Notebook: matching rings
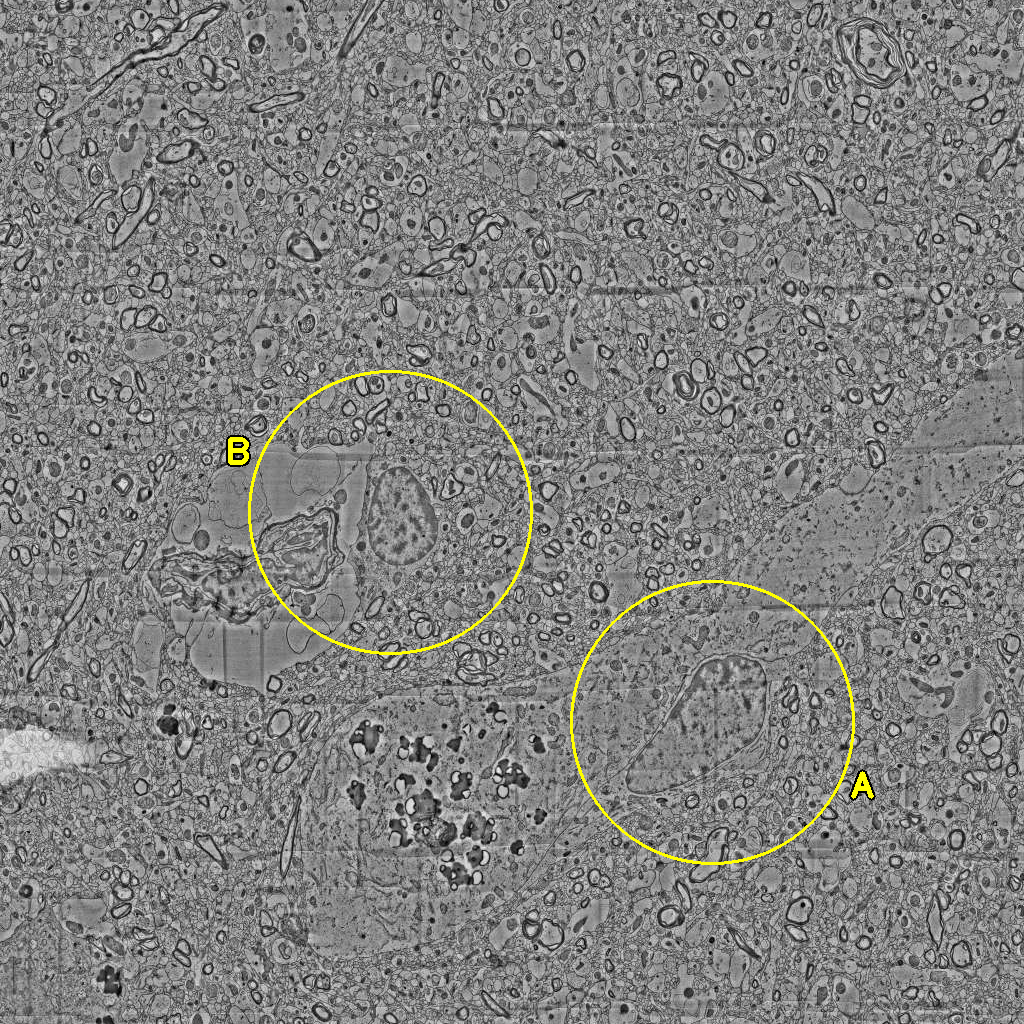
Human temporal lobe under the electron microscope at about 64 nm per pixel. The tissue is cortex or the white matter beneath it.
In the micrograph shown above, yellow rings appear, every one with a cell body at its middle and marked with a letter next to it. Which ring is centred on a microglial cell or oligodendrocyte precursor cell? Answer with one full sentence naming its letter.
A cell of that kind lies at the centre of the ring lettered A.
